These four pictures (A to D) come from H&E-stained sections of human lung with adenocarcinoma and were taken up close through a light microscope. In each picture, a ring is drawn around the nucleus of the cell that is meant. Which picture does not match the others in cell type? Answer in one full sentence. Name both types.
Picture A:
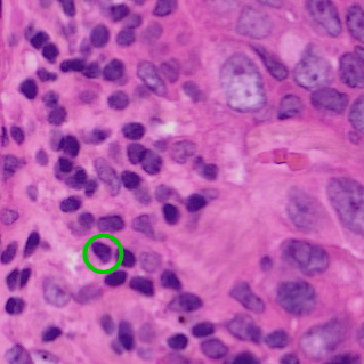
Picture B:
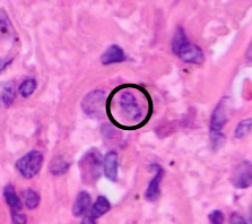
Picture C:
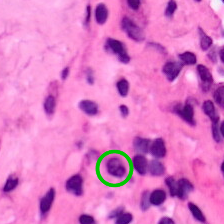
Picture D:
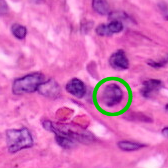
The different one is picture A; it shows a lymphocyte, whereas all the others show plasma cells.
